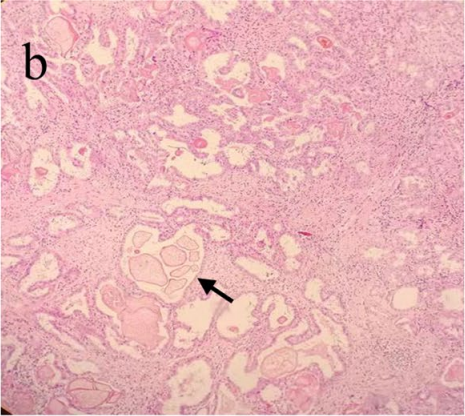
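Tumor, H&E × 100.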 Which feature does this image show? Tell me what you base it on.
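Many tubules are widened into rounded, empty-looking cystic spaces. The cysts lie within a pink stroma.
Answer: tubulocystic structures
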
